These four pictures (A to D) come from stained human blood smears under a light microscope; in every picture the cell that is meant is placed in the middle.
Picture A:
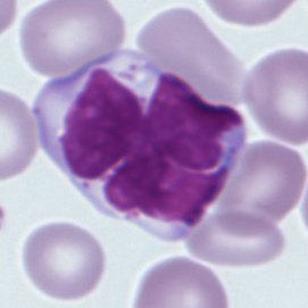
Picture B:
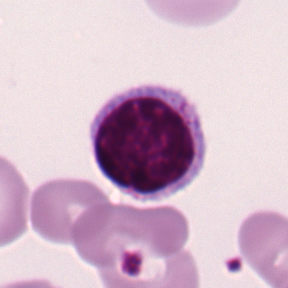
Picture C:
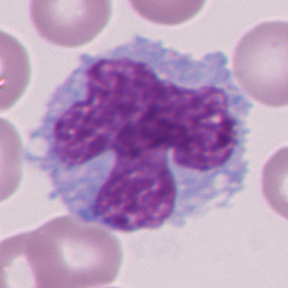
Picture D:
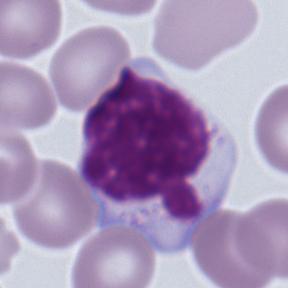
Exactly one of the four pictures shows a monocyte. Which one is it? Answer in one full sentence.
Picture C shows the monocyte.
